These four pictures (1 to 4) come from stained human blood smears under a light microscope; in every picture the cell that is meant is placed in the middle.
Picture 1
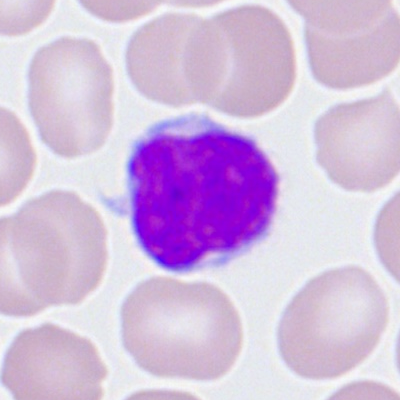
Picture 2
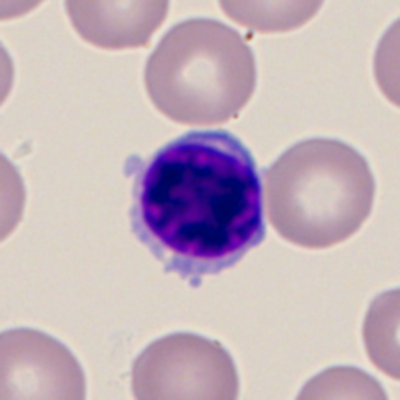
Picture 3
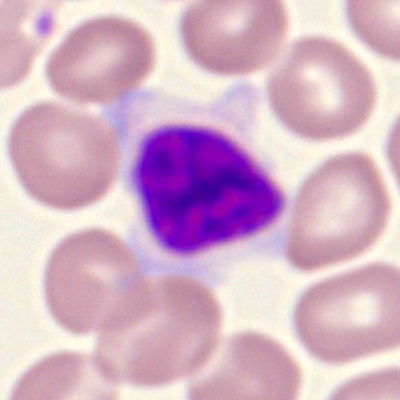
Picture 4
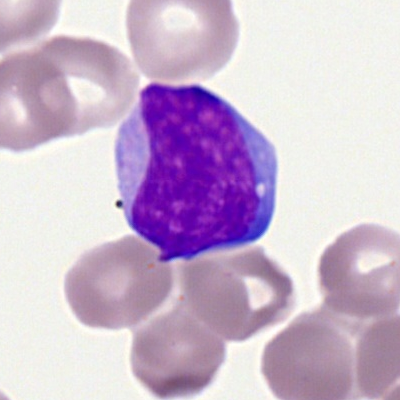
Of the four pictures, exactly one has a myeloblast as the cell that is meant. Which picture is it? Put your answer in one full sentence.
The cell in picture 4 is the myeloblast.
